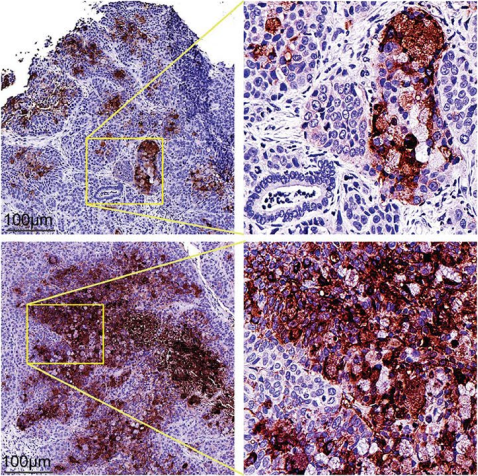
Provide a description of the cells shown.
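These are sections of tumour tissue with blue-counterstained nuclei and patches of brown stain. In one section the brown stain lies in scattered clusters of tumour cells, with most of the tissue blue. In the other section brown stain covers large confluent areas of tumour cells. At higher power the brown stain sits in the cytoplasm and along the borders of the large tumour cells, sparing their nuclei.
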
